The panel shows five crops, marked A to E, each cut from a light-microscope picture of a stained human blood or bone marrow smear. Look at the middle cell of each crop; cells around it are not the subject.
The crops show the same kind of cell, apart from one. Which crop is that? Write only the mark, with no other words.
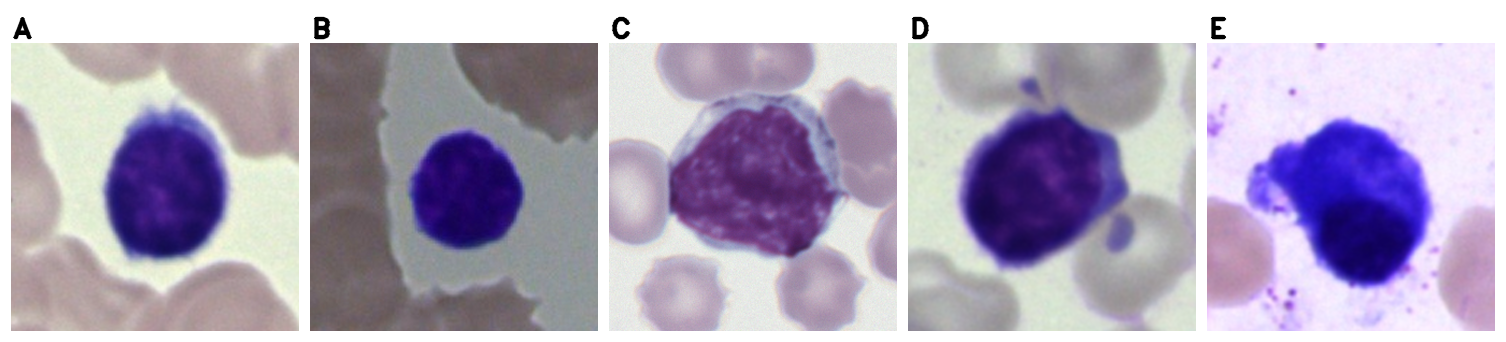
E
